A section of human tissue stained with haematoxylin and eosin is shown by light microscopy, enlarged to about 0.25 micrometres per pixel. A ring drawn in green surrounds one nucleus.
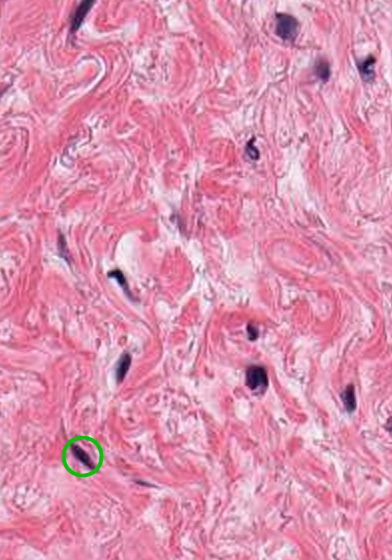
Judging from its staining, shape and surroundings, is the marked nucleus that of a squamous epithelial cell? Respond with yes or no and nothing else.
no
